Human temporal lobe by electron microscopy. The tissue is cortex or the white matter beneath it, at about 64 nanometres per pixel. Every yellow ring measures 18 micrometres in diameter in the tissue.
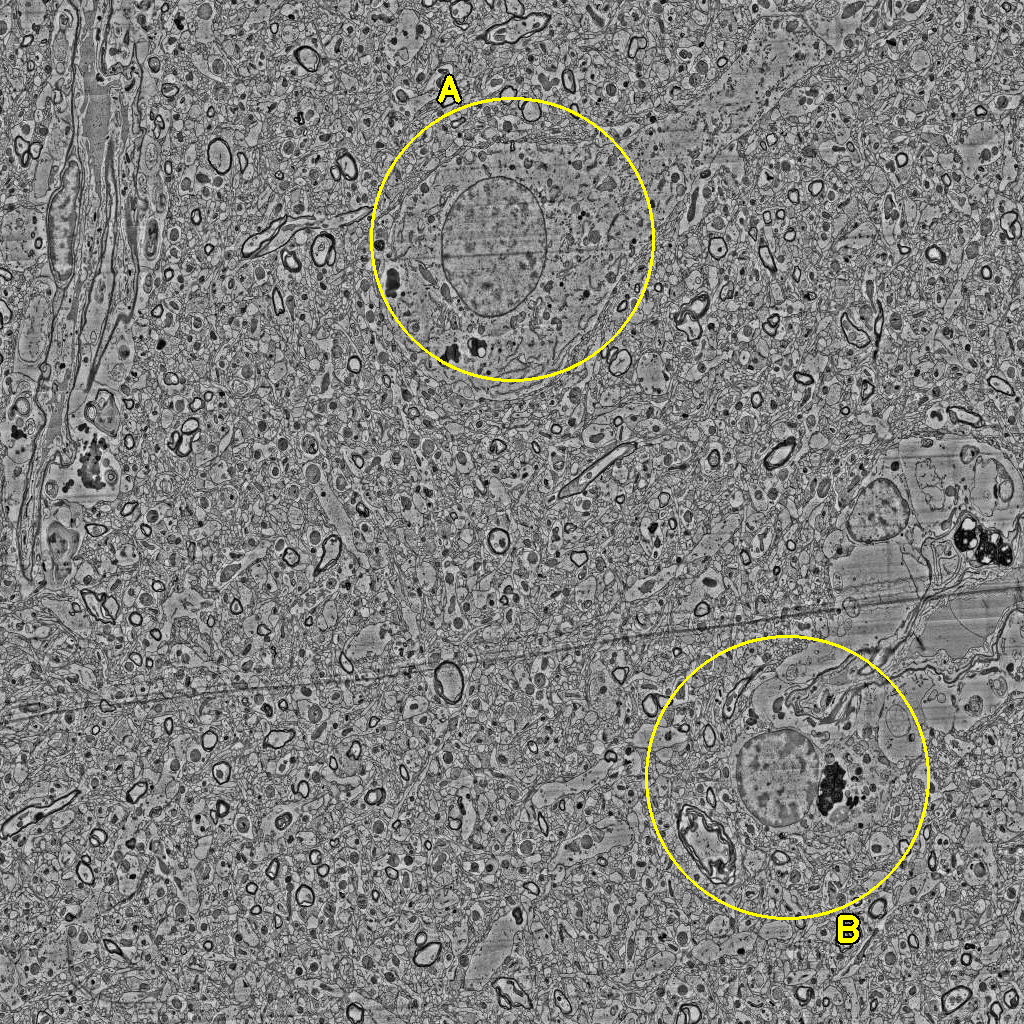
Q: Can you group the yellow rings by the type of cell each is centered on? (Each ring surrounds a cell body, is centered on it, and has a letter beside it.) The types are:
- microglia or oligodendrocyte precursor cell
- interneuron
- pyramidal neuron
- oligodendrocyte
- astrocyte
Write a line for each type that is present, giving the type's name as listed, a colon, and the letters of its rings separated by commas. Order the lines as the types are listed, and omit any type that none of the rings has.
pyramidal neuron: A
oligodendrocyte: B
